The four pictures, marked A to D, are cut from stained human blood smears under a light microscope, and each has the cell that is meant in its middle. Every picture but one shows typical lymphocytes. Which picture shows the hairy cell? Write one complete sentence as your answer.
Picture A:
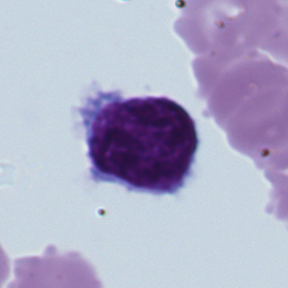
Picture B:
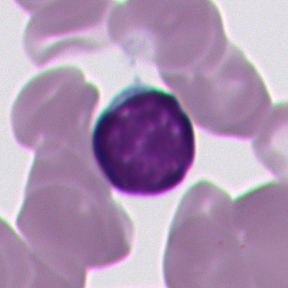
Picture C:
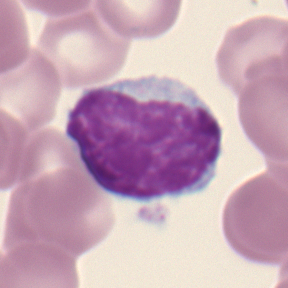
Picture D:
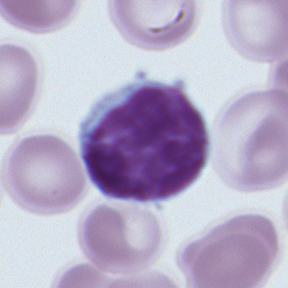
Picture A shows the hairy cell.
